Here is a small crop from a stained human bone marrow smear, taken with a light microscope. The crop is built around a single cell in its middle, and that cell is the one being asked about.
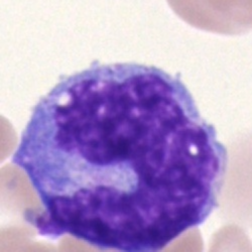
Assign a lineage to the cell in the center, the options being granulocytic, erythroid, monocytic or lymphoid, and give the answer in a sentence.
The cell situated centrally in the crop is of the monocytic lineage.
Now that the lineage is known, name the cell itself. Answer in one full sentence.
Looking at the middle of the crop, the cell there is a monocyte.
